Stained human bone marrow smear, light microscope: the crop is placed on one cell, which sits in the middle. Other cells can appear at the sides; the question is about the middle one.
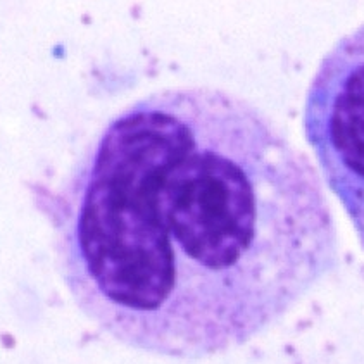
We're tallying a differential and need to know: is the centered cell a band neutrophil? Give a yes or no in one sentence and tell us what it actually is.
No, that is not a band neutrophil; the middle cell is a segmented neutrophil.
